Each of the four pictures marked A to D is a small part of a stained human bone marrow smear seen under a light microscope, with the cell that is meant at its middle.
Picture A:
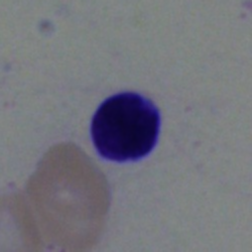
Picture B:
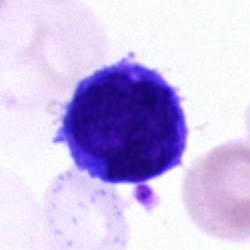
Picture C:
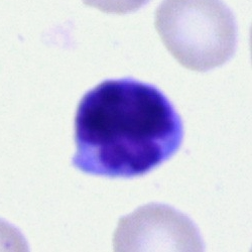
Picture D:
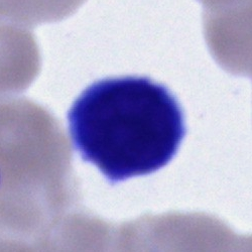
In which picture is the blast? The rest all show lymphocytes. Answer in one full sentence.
The picture with the blast is B.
